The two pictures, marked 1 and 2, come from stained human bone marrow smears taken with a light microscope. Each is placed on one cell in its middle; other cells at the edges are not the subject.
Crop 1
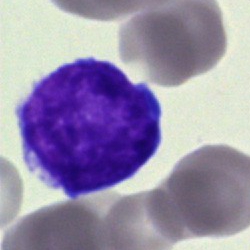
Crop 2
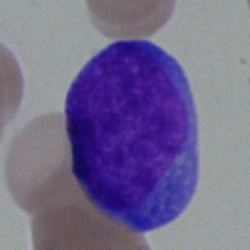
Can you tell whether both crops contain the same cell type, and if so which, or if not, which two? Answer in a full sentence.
Yes, both crops show blasts, and the two match.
